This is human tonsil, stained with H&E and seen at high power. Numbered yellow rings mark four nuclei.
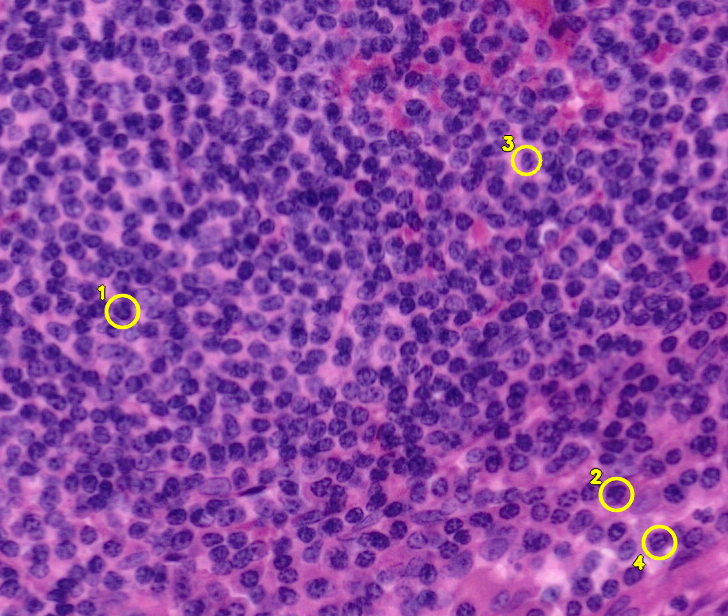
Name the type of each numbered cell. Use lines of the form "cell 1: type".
cell 1: small lymphocyte
cell 2: plasma cell
cell 3: small lymphocyte
cell 4: plasma cell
